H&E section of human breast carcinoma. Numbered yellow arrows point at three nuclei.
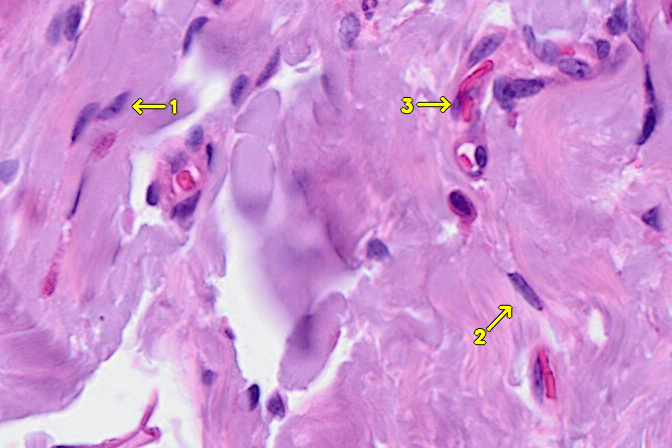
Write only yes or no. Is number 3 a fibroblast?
no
